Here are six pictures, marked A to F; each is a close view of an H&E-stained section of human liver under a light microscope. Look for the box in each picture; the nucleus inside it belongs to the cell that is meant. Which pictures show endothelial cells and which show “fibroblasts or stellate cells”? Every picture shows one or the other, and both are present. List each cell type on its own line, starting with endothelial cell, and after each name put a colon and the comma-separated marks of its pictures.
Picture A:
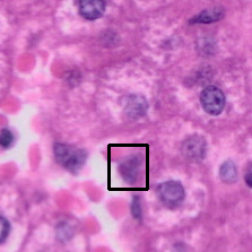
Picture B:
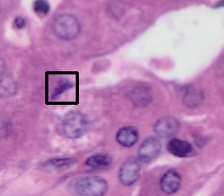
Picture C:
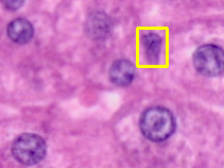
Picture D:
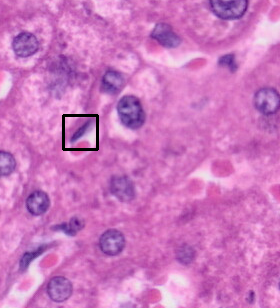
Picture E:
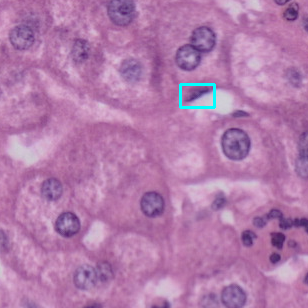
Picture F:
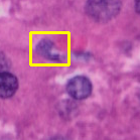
endothelial cell: A, D, E, F
fibroblast or stellate cell: B, C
